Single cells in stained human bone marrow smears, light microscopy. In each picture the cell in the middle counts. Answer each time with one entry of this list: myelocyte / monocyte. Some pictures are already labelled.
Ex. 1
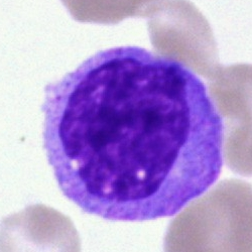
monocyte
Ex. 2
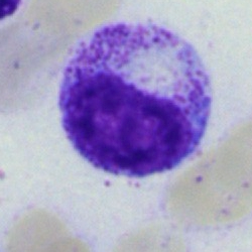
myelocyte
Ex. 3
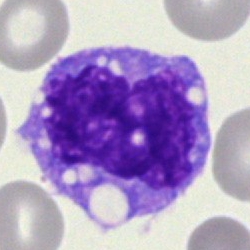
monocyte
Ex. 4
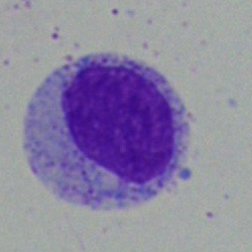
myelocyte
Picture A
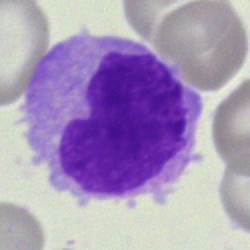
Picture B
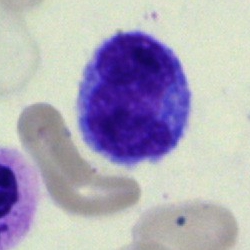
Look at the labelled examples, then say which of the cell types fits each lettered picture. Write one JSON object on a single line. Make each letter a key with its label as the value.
{"A": "monocyte", "B": "monocyte"}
